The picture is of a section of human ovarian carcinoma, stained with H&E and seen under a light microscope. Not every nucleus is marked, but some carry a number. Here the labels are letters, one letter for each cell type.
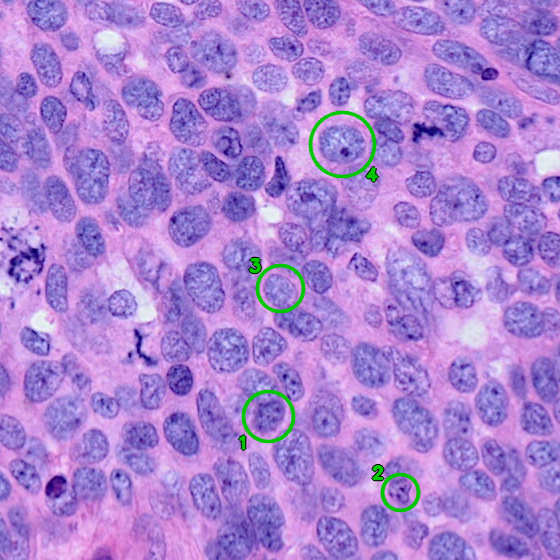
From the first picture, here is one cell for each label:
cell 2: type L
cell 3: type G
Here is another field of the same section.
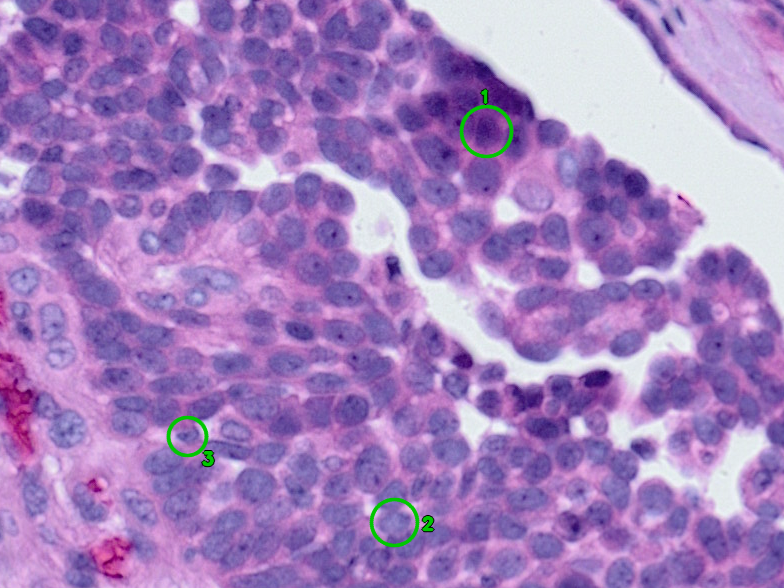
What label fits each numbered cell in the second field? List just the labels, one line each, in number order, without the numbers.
type G
type G
type L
